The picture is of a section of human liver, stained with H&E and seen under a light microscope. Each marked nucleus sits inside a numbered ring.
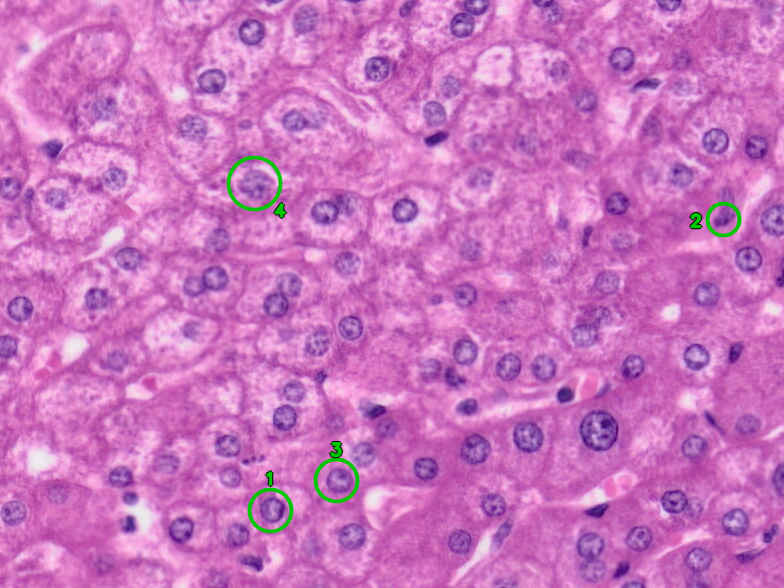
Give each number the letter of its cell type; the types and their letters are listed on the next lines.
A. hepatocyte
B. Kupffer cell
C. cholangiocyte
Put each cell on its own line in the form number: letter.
1: A
2: B
3: A
4: A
